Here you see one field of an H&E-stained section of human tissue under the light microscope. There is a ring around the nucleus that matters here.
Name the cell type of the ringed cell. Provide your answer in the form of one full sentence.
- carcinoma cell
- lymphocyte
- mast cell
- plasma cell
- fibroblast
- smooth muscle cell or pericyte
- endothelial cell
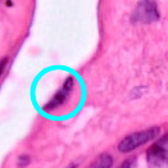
To be brief about it, the ringed cell is an endothelial cell.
